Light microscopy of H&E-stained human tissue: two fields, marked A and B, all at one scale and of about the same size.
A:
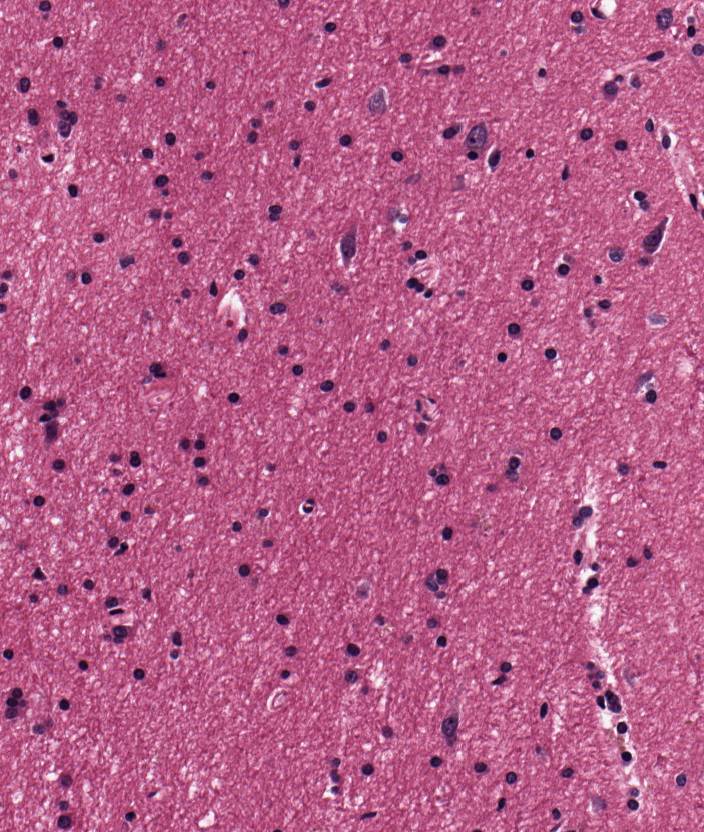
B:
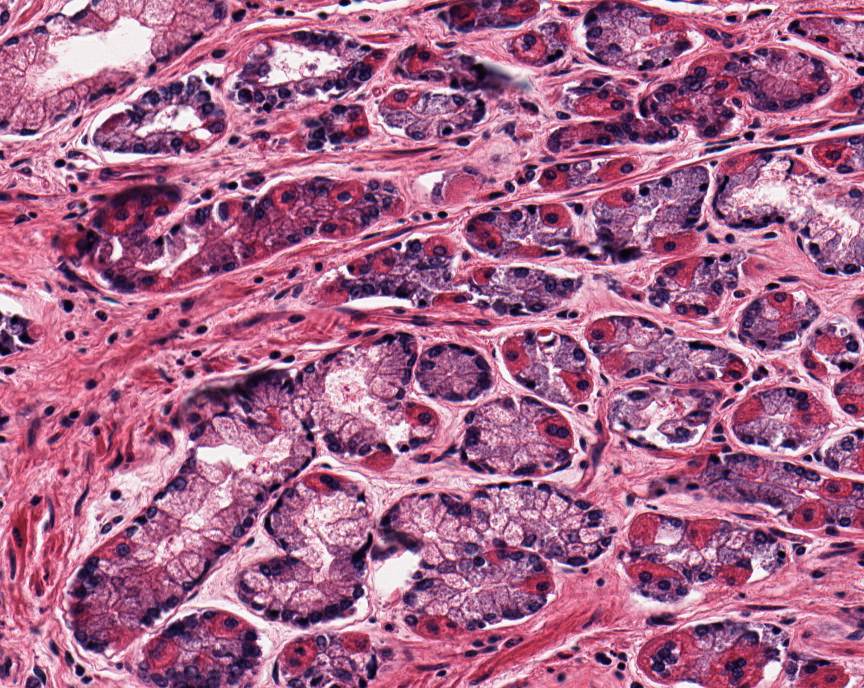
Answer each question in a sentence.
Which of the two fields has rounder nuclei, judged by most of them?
On the whole the nuclei of picture A are rounder than those of picture B.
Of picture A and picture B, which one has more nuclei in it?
There are more nuclei in picture B.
